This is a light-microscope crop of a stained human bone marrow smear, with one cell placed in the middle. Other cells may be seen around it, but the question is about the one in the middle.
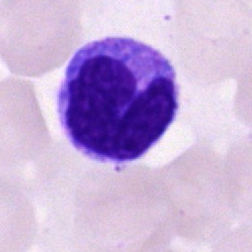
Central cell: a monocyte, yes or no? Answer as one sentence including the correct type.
Yes, at the centre of the crop lies a monocyte.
